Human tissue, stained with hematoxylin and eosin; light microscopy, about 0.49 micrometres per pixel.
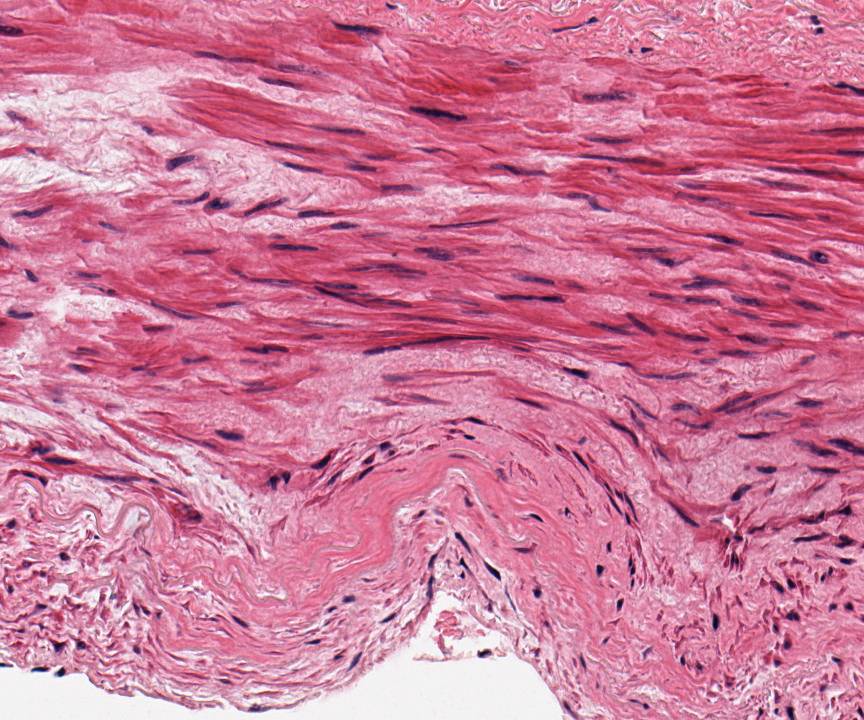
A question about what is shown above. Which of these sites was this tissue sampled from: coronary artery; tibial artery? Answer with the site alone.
tibial artery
